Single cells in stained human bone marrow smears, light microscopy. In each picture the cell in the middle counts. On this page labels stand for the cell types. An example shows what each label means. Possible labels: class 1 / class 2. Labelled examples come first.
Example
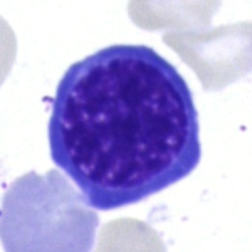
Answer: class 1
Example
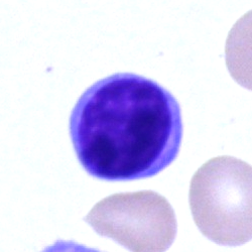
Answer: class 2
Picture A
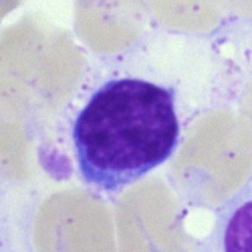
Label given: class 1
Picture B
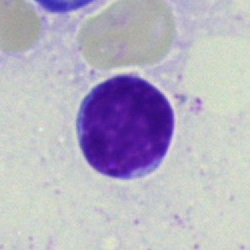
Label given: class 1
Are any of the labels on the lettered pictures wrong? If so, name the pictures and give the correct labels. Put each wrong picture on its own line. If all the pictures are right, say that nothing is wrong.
Wrong: A (class 1); correct: class 2
Wrong: B (class 1); correct: class 2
